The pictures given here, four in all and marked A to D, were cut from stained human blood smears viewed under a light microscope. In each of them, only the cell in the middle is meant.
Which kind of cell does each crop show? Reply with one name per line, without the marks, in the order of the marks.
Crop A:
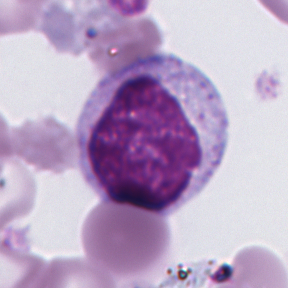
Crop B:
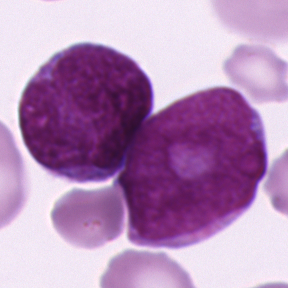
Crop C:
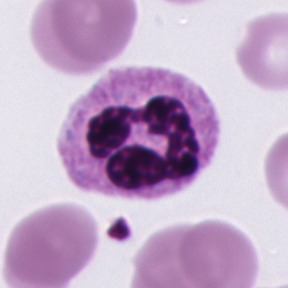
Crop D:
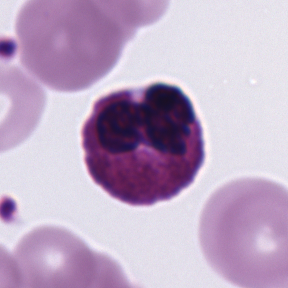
myelocyte
blast
segmented neutrophil
eosinophil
